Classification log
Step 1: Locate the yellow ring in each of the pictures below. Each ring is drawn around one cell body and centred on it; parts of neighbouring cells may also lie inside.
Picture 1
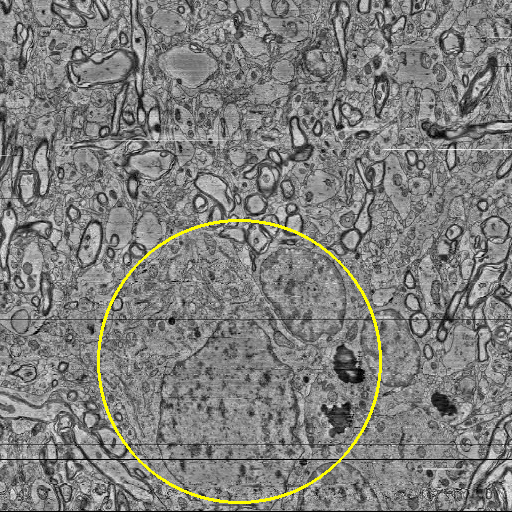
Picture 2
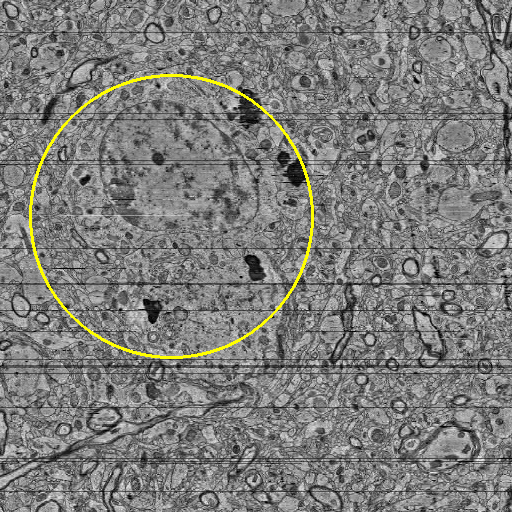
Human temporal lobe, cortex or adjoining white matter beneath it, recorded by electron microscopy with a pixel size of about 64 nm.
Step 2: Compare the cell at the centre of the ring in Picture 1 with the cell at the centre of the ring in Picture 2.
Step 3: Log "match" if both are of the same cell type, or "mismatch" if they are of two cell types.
match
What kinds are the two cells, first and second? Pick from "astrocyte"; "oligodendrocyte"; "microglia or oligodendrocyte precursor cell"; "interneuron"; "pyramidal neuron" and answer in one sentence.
Both rings mark an interneuron, one in each picture.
